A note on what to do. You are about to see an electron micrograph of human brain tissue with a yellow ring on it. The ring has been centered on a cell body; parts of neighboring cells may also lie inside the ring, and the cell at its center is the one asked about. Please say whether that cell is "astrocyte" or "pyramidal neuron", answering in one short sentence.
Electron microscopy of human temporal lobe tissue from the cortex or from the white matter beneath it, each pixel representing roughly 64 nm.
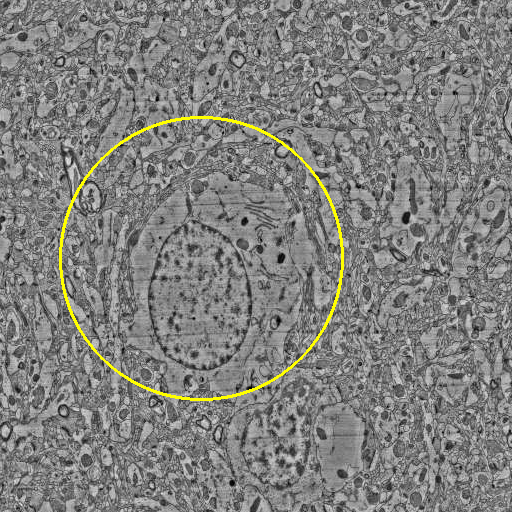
The yellow ring sits on an astrocyte.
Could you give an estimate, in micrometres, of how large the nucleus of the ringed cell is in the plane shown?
The nucleus has a long axis of about 10 micrometres and a short axis of about 6 micrometres in this plane.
